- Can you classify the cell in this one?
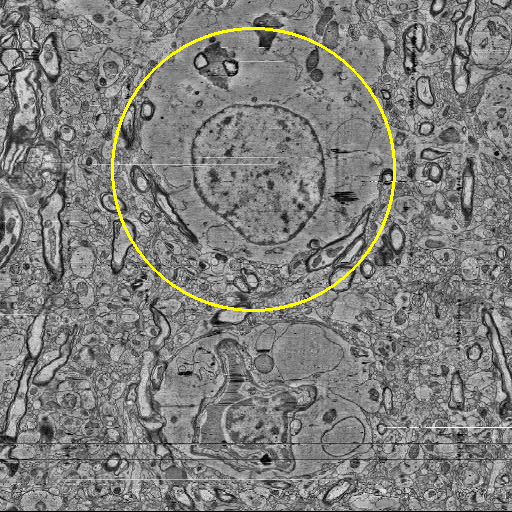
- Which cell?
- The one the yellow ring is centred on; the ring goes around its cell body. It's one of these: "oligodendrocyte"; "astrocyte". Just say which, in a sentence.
The cell body in the ring belongs to an astrocyte.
